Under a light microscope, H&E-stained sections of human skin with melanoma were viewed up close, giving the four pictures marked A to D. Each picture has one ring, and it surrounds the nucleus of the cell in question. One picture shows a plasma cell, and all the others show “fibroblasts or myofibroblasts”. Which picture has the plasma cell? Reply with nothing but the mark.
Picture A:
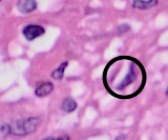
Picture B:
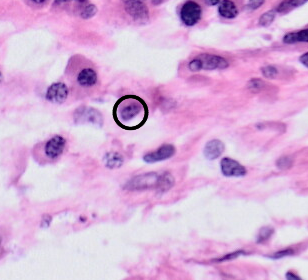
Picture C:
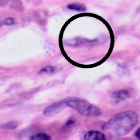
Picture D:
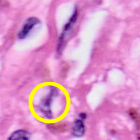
B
